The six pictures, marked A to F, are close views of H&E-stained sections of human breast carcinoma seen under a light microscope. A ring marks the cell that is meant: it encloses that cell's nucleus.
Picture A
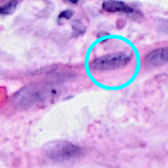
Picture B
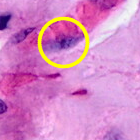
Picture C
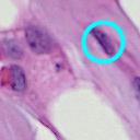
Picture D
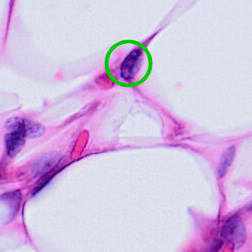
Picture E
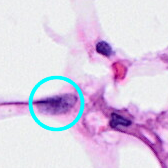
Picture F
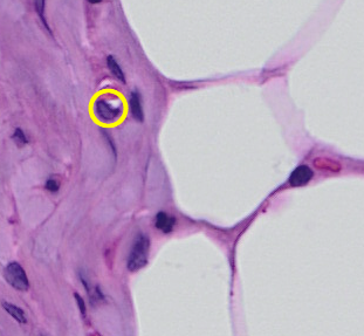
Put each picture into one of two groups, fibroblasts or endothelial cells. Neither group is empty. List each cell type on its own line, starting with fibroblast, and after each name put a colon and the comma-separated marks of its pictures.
fibroblast: C, E
endothelial cell: A, B, D, F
